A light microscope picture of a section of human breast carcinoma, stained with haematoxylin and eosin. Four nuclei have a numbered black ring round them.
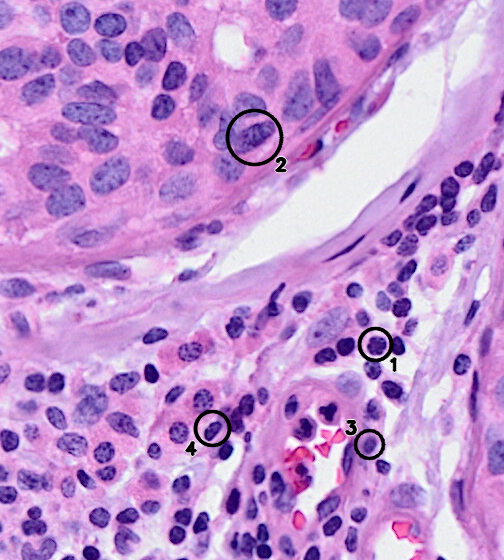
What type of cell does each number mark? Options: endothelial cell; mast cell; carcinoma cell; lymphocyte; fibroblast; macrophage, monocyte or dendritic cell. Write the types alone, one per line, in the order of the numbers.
lymphocyte
carcinoma cell
lymphocyte
lymphocyte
